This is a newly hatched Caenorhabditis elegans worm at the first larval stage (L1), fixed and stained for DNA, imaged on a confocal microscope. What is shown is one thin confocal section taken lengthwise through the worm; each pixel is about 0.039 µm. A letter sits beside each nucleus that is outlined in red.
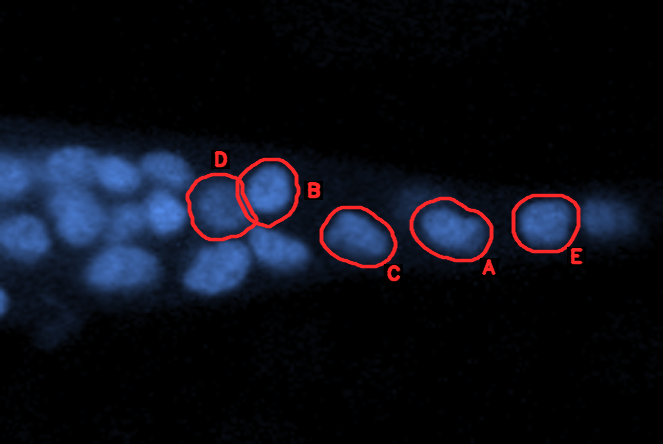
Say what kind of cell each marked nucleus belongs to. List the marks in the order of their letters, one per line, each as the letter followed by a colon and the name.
A: hypodermal cell (hyp)
B: neuron
C: hypodermal cell (hyp)
D: seam cell
E: hypodermal cell (hyp)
